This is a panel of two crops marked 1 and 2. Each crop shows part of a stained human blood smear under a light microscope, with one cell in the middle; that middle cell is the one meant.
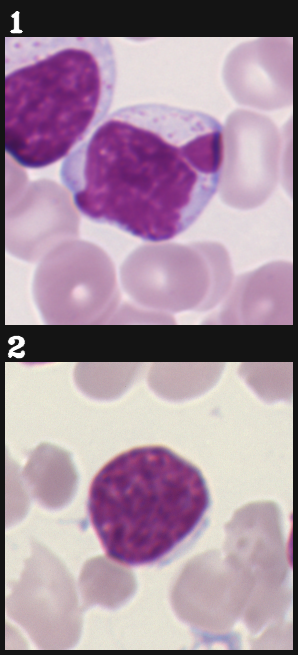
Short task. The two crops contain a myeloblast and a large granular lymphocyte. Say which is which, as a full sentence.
Found in crop 1 is a large granular lymphocyte; found in crop 2 is a myeloblast.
